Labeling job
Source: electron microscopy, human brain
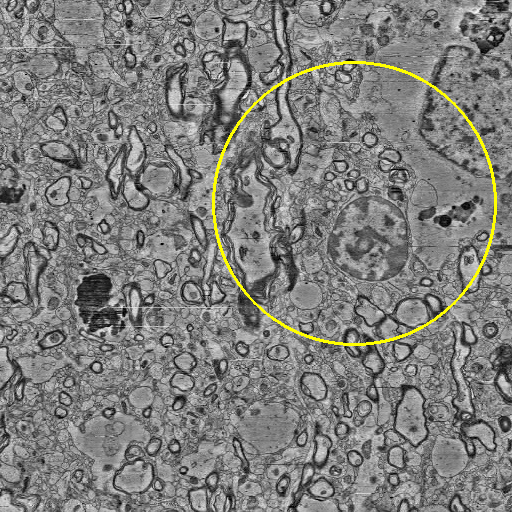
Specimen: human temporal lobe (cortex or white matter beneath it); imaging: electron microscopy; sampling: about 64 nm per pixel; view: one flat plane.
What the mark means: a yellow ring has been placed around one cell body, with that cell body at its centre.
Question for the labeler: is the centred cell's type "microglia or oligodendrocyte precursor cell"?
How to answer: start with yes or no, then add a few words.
Yes, that is its type.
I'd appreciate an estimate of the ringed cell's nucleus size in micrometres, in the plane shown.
Roughly 5 micrometres across for the nucleus, in this plane.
